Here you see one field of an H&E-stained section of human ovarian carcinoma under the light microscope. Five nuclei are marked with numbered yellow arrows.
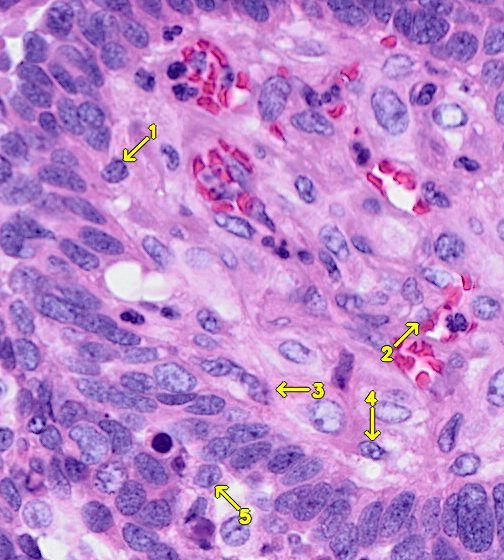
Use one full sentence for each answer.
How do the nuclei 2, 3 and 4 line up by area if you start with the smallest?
Smallest first, the nuclei run 2, 4, 3.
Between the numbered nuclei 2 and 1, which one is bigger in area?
Number 1 is larger; its area is about 2.5 times that of number 2.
